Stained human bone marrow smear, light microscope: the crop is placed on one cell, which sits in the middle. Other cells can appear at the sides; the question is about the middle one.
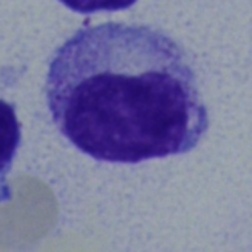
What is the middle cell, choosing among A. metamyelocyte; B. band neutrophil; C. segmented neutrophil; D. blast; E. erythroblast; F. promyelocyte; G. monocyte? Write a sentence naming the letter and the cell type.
The central cell, a metamyelocyte, is correctly identified by option A.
